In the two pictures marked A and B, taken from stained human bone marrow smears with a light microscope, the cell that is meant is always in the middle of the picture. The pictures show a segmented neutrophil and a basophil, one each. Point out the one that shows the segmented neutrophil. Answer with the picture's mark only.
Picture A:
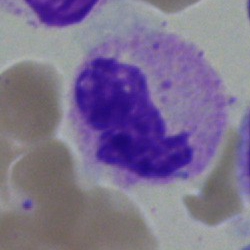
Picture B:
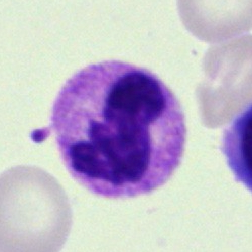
B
